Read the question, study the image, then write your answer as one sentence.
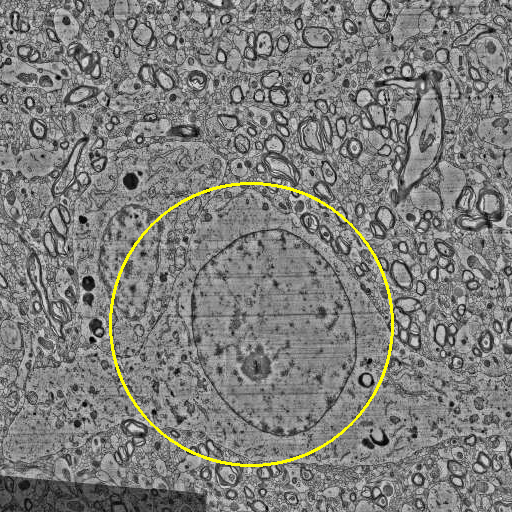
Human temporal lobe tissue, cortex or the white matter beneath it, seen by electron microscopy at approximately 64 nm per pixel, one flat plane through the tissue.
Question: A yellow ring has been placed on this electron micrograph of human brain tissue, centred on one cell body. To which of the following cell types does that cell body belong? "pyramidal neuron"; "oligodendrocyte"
That cell body belongs to a pyramidal neuron.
